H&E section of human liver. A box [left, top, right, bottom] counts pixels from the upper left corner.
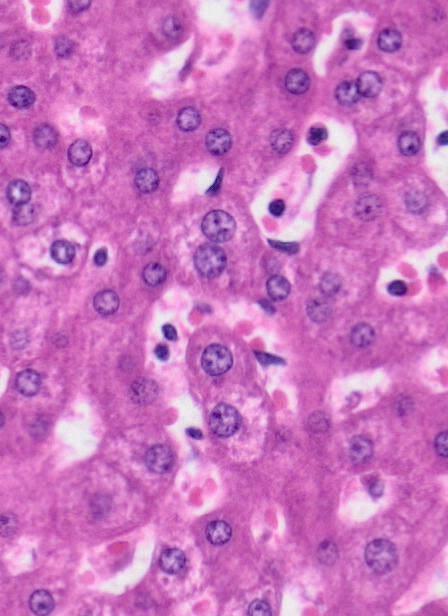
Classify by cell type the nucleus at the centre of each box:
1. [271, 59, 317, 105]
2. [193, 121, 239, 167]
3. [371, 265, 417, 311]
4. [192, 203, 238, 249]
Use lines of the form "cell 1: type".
cell 1: hepatocyte
cell 2: hepatocyte
cell 3: lymphocyte
cell 4: hepatocyte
